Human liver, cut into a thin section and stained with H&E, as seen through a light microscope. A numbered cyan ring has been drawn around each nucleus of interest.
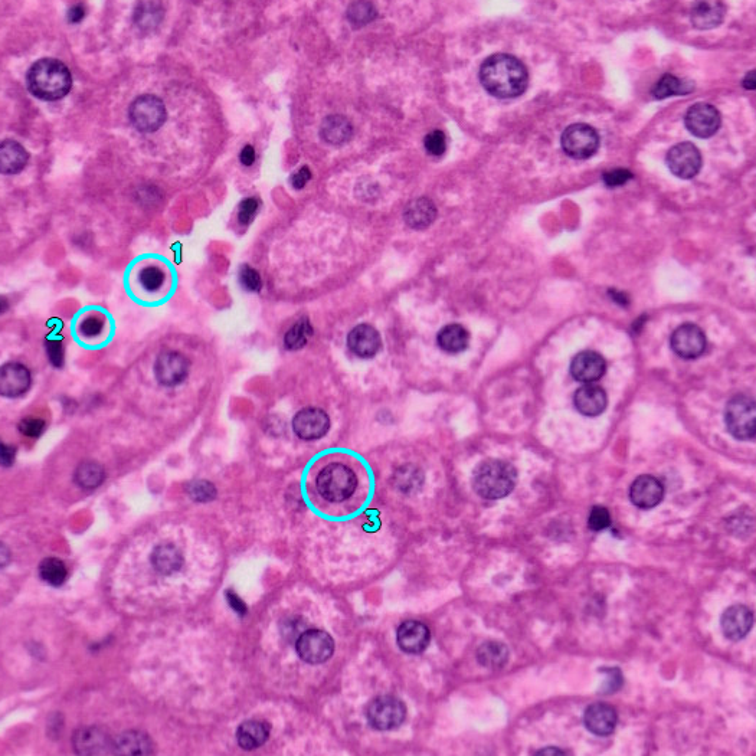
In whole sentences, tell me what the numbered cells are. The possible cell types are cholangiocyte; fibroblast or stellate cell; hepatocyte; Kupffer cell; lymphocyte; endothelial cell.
Cells 1 and 2 are lymphocytes. Cell 3 is a hepatocyte.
